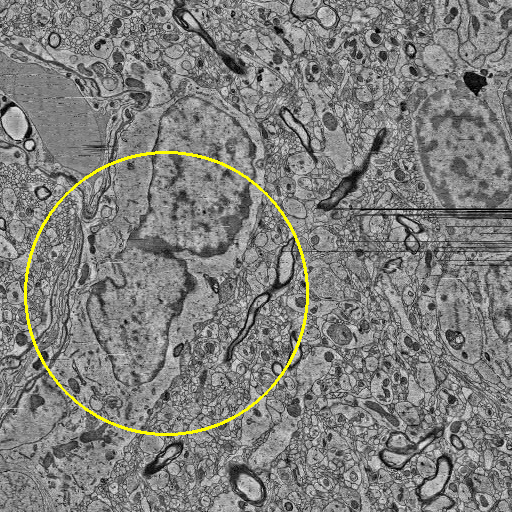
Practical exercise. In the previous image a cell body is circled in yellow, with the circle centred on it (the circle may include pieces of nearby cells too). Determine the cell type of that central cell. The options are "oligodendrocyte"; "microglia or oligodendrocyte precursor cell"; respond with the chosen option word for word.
microglia or oligodendrocyte precursor cell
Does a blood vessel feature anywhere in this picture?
Yes.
